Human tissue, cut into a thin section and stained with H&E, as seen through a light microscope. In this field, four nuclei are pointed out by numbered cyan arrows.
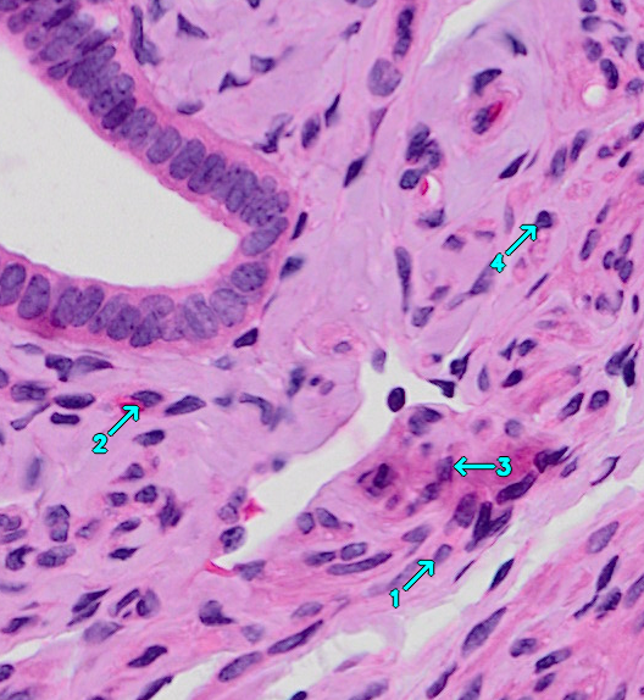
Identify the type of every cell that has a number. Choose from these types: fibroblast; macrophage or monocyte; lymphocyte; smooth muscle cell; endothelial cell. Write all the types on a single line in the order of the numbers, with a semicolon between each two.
smooth muscle cell; endothelial cell; smooth muscle cell; smooth muscle cell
